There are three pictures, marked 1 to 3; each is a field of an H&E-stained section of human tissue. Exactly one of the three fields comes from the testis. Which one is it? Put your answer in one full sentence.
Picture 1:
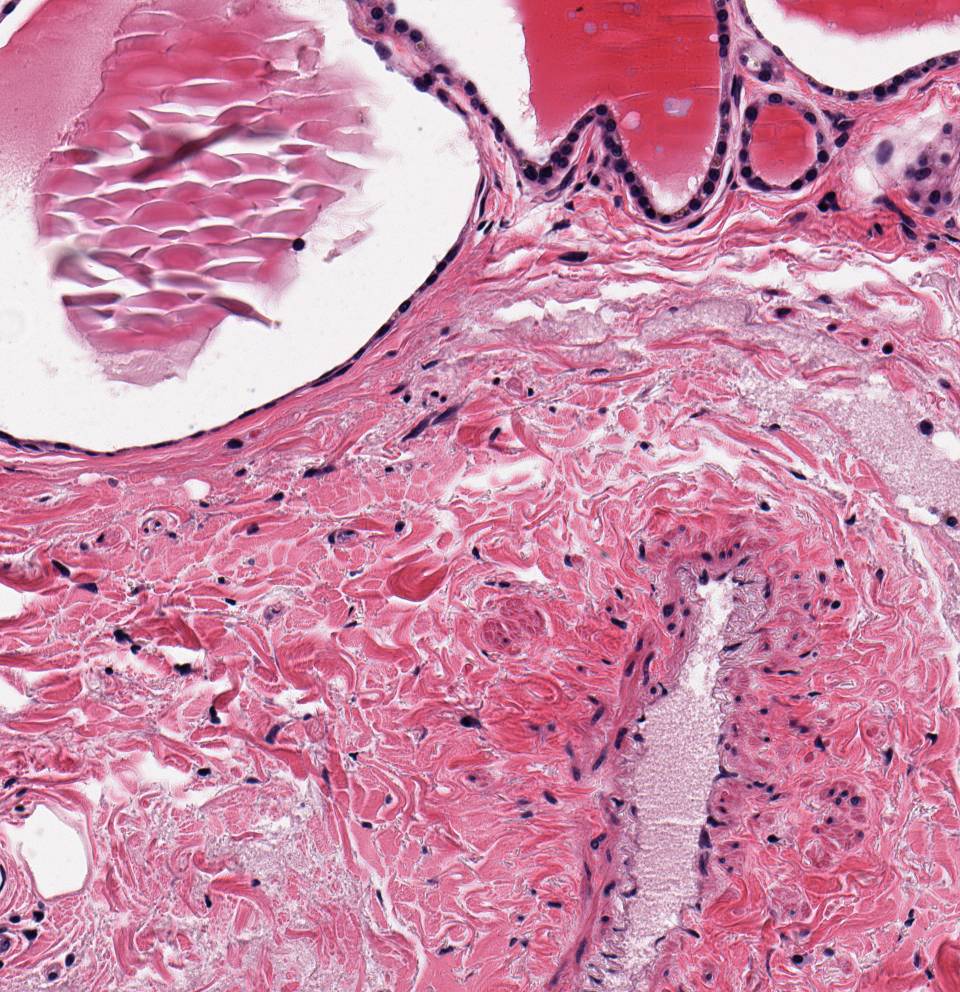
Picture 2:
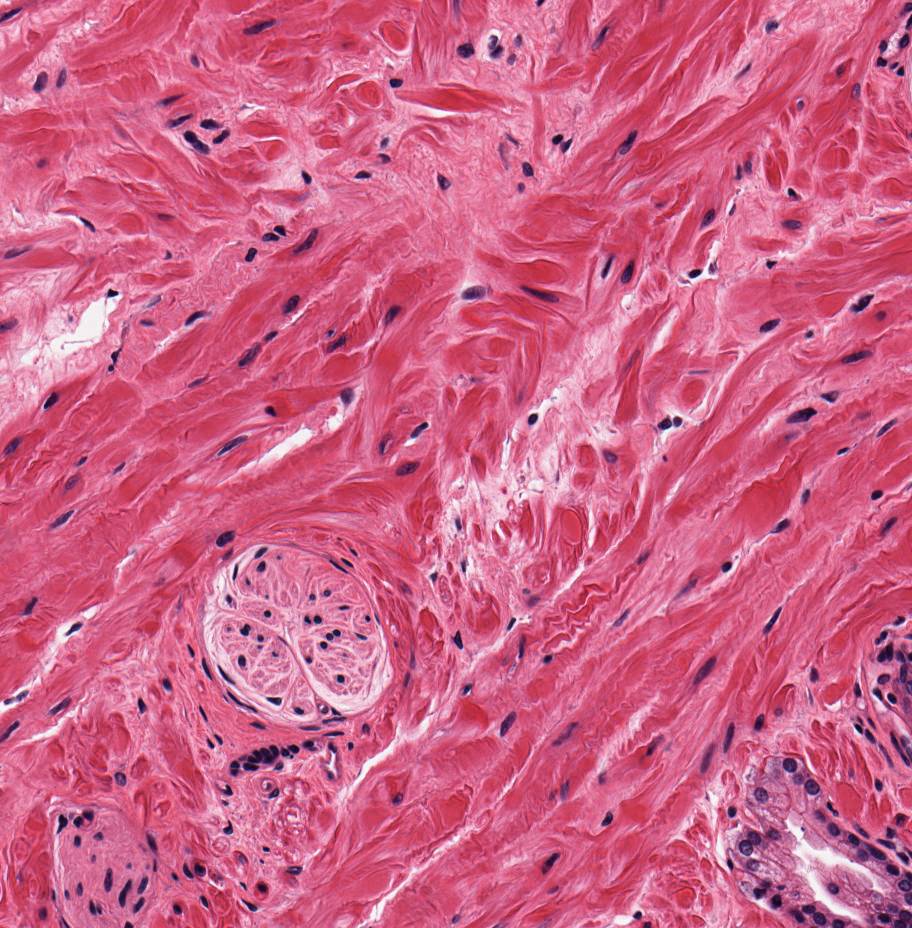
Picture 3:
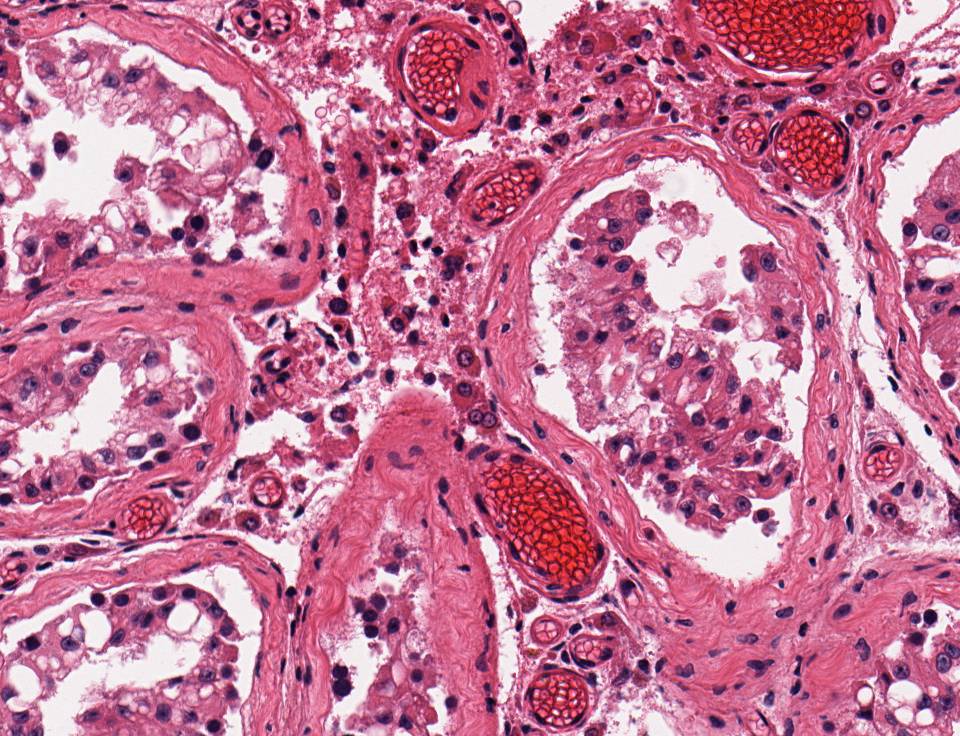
The one that comes from the testis is picture 3.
